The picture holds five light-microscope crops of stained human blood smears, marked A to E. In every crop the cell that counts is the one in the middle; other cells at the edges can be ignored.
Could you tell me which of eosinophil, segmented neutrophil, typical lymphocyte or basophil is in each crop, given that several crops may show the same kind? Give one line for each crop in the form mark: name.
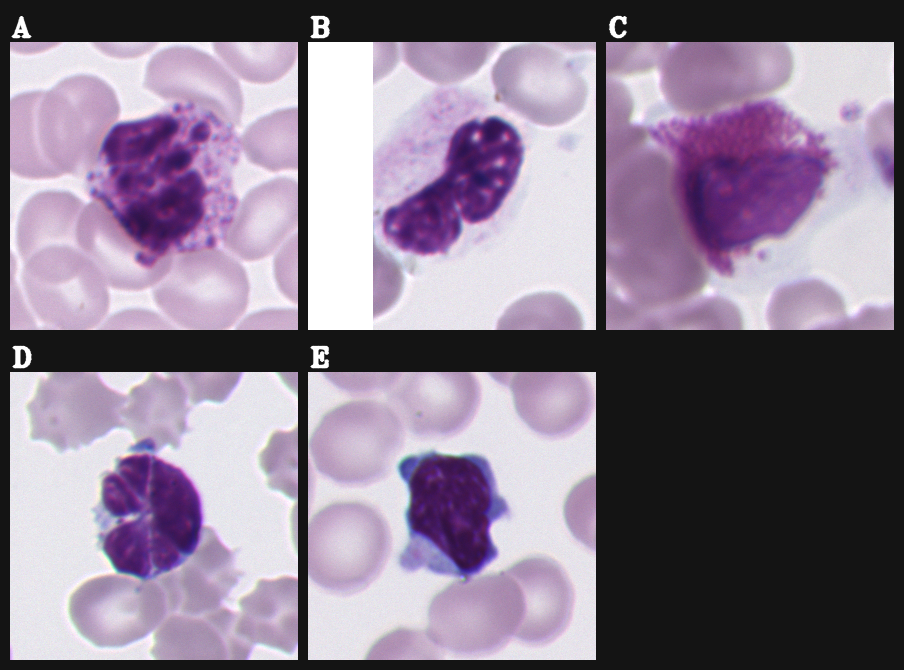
A: basophil
B: segmented neutrophil
C: eosinophil
D: typical lymphocyte
E: typical lymphocyte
